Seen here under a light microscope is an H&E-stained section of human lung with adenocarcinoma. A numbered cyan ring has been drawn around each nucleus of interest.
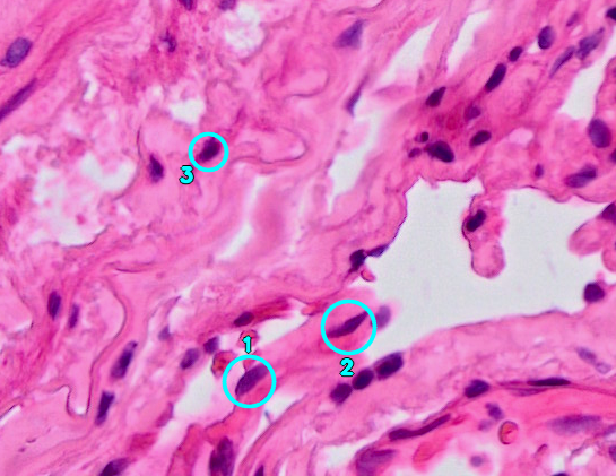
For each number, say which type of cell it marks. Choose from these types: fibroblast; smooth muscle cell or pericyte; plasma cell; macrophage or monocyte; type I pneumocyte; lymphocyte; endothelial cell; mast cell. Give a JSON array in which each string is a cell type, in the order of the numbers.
["type I pneumocyte", "endothelial cell", "smooth muscle cell or pericyte"]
